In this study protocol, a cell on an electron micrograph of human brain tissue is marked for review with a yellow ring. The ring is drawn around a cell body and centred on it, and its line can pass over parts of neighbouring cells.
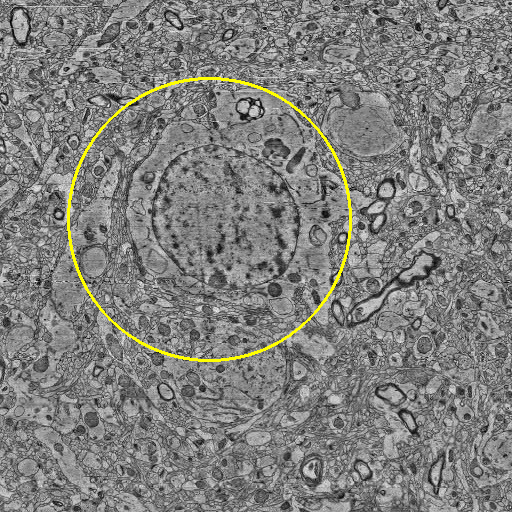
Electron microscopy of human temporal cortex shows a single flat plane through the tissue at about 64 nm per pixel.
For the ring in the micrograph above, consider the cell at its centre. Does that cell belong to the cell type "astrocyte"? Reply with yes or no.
yes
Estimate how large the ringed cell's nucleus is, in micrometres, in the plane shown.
In this plane the nucleus measures roughly 9 micrometres across.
